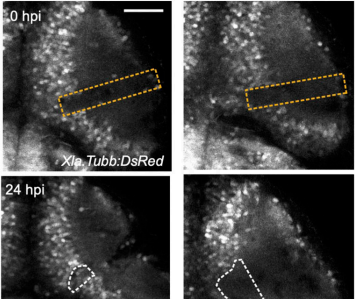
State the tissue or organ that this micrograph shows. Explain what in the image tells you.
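A dense band of many small round bright cell bodies curves around a dimmer region. The bright band outlines a lobe-shaped brain structure. On this evidence: tectum.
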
